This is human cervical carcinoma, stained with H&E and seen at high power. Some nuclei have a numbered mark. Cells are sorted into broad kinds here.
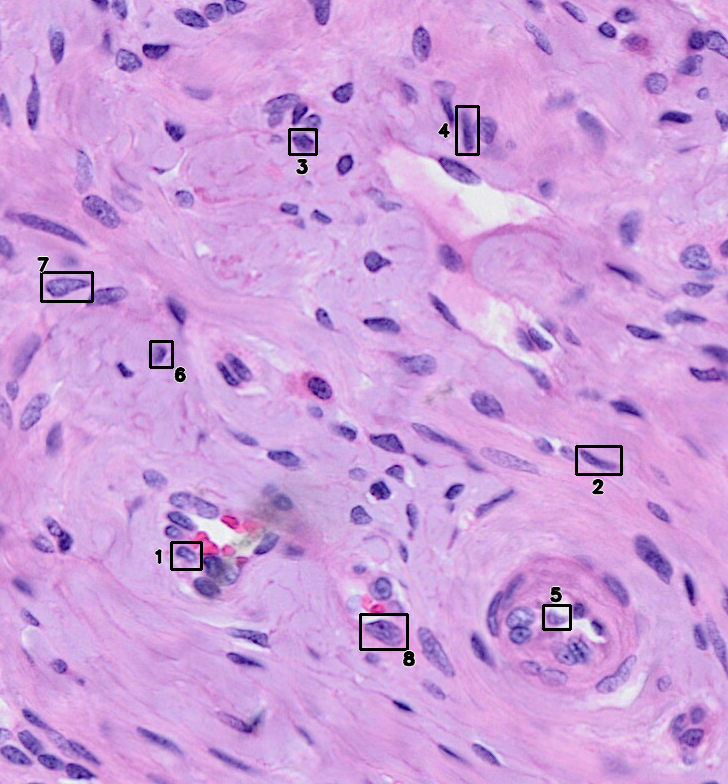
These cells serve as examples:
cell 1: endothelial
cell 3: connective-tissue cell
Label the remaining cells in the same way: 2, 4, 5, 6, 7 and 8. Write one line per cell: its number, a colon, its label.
2: connective-tissue cell
4: connective-tissue cell
5: endothelial
6: connective-tissue cell
7: connective-tissue cell
8: endothelial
